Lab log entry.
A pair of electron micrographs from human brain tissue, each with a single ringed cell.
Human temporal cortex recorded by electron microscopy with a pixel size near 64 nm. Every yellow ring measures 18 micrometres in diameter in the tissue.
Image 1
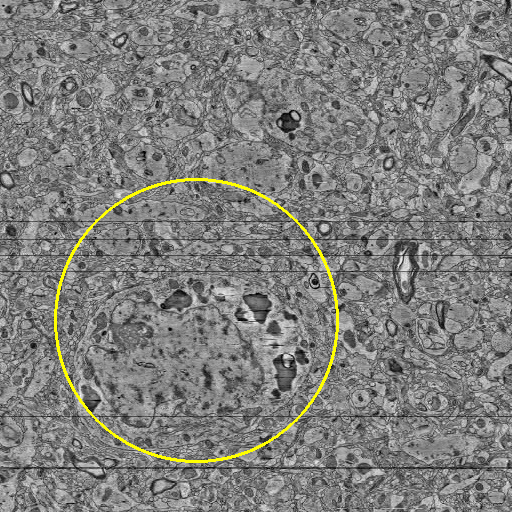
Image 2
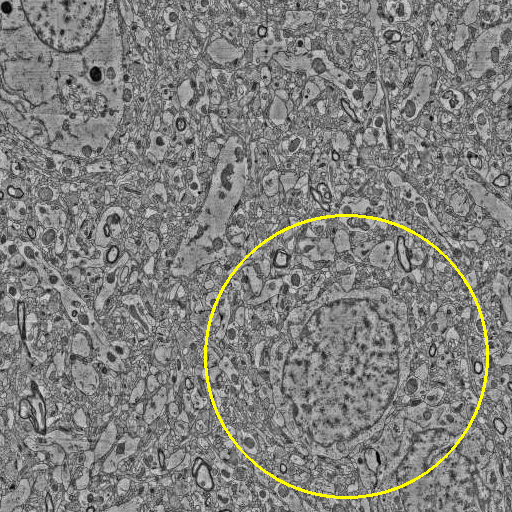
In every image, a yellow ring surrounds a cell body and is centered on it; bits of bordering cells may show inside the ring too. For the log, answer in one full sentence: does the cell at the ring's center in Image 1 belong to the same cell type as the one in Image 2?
Yes, the cells at the ring centers in Image 1 and Image 2 share one type.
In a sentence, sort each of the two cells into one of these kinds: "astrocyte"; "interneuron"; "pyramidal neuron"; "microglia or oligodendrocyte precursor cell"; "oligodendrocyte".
Each of the two rings surrounds an interneuron.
